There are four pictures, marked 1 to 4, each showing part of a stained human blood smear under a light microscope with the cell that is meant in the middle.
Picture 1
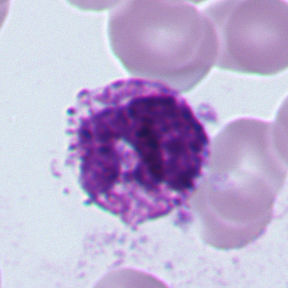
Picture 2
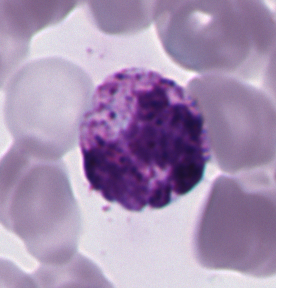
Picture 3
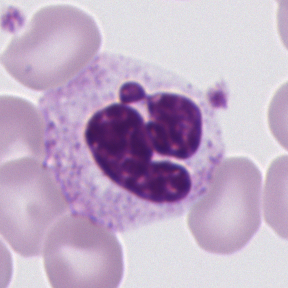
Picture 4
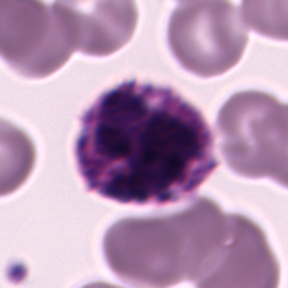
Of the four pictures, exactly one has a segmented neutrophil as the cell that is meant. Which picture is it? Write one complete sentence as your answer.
Picture 3 is the one that shows the segmented neutrophil.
